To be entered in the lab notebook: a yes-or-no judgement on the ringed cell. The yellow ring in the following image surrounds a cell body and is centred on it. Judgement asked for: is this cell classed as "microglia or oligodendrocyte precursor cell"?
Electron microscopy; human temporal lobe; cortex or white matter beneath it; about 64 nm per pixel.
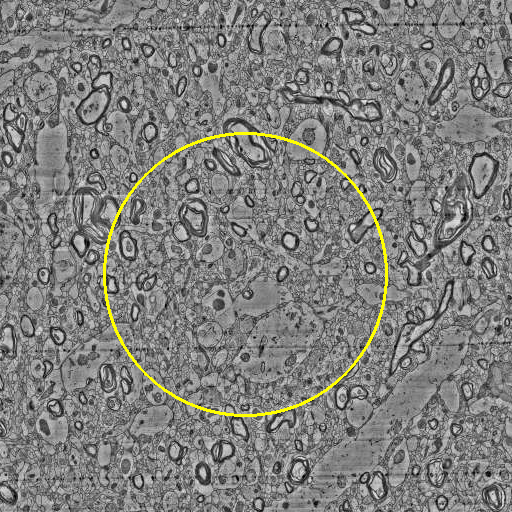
No, it falls in another class.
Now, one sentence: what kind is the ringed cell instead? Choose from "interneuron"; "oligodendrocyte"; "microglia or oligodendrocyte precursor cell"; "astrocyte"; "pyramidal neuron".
The ring holds an oligodendrocyte at its centre.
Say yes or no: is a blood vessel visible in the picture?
No, no blood vessel can be seen.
